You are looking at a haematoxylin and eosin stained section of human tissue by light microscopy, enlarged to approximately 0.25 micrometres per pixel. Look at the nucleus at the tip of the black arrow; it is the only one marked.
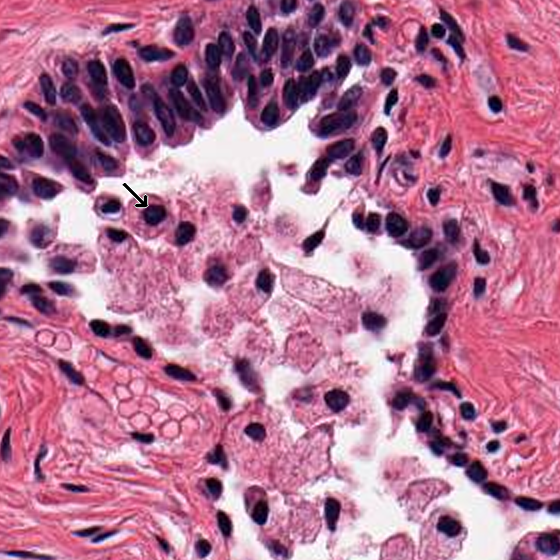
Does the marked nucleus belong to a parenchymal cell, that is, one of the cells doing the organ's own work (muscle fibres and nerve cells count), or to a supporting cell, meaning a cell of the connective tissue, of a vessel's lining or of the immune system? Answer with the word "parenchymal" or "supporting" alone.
supporting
